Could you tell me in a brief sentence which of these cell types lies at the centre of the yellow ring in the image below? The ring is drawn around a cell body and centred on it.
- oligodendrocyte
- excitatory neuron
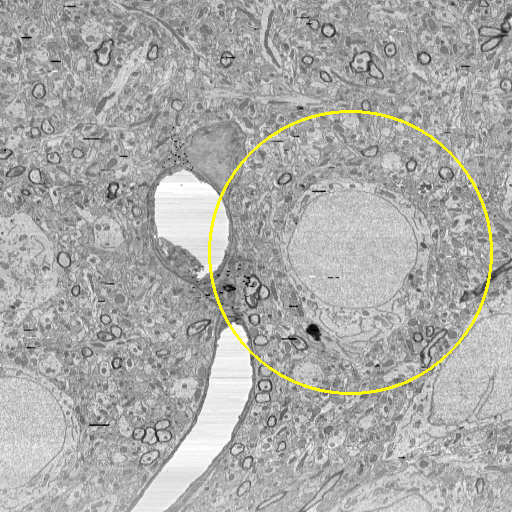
The cell centred in the ring is an excitatory neuron.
